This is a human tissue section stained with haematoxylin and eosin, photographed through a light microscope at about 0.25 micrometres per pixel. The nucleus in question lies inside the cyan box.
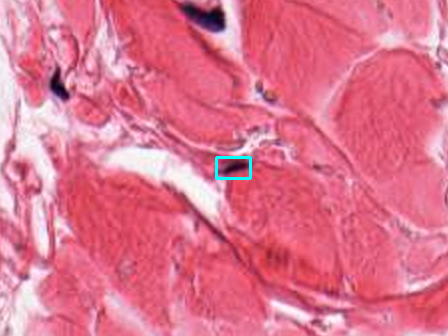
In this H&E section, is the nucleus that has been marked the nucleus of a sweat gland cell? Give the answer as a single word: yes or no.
no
